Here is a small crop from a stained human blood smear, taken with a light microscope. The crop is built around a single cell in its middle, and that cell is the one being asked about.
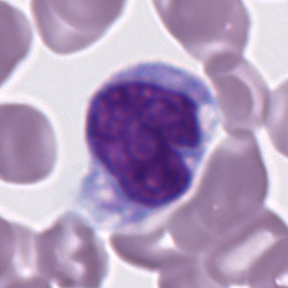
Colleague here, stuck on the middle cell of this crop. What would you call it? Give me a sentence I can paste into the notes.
The cell at the central position in this crop is a monocyte.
